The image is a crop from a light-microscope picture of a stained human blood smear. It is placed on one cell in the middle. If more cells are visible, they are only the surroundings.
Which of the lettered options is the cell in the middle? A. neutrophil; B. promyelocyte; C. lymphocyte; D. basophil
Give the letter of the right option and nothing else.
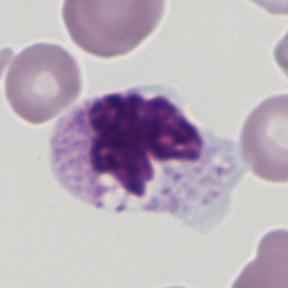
A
